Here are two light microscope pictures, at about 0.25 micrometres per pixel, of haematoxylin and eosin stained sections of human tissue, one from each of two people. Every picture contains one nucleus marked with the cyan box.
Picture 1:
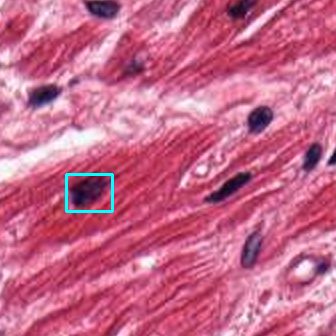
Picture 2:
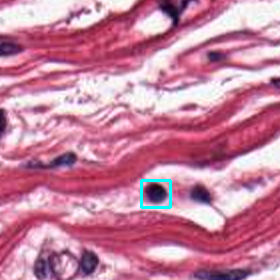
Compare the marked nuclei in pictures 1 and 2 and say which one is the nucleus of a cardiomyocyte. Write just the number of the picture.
1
